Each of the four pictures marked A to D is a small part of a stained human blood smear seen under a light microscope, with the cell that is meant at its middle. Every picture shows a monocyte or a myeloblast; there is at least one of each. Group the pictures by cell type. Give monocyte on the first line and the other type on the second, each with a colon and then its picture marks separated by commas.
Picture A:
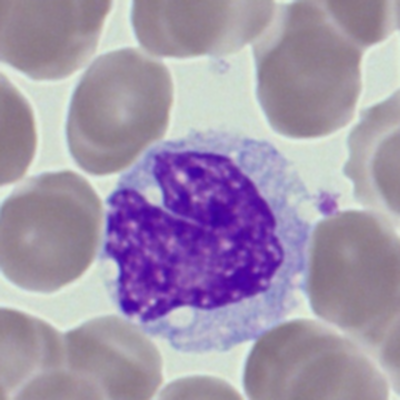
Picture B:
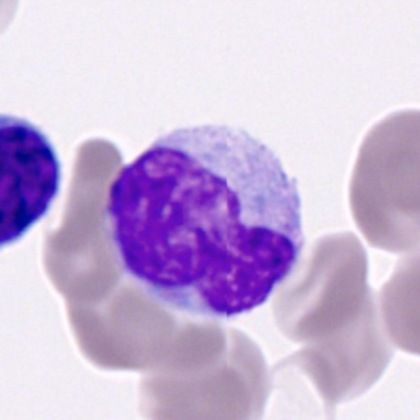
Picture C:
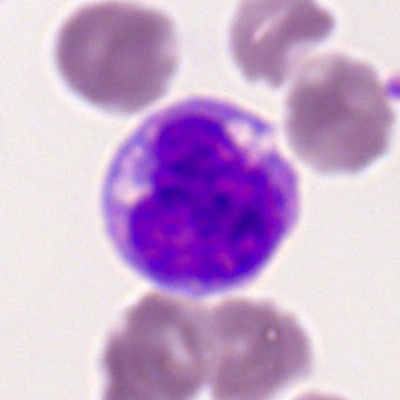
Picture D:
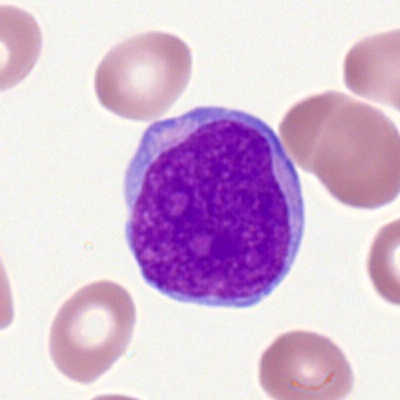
monocyte: A, B, C
myeloblast: D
